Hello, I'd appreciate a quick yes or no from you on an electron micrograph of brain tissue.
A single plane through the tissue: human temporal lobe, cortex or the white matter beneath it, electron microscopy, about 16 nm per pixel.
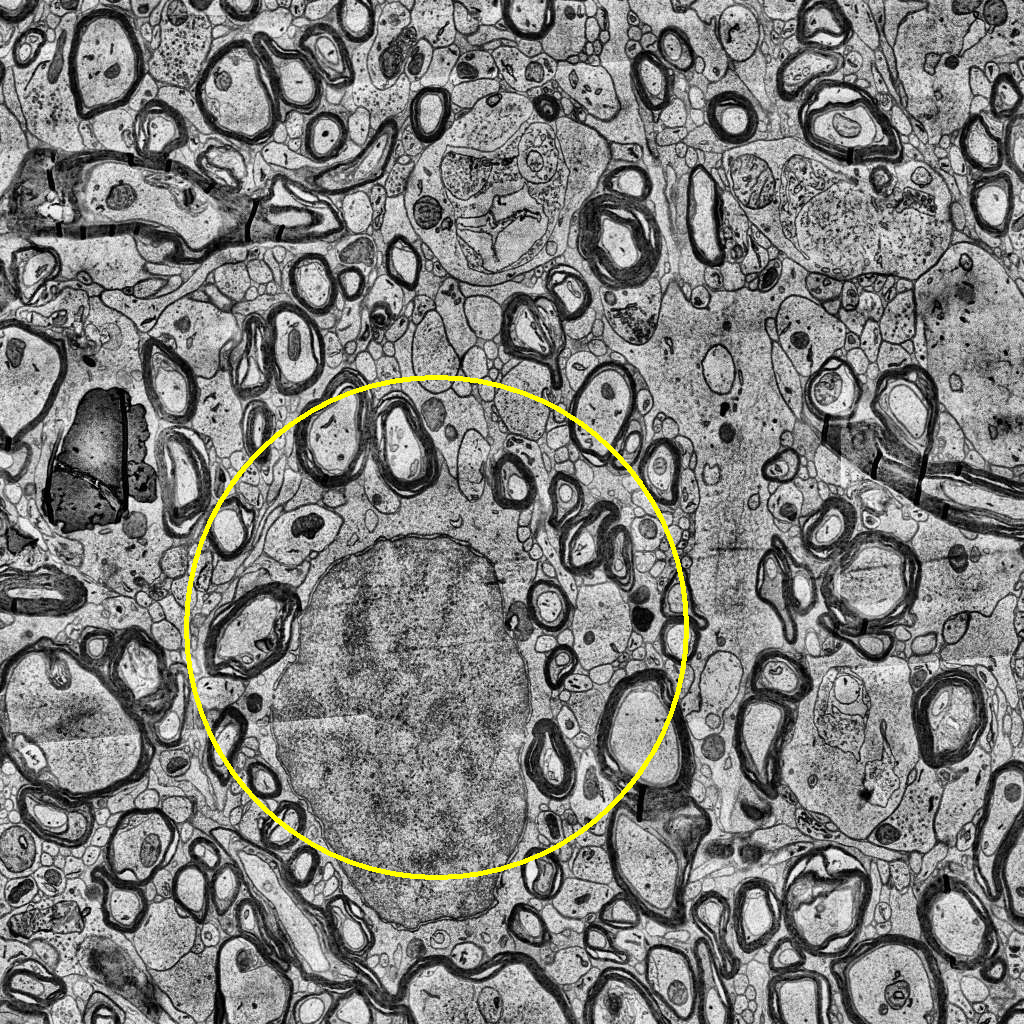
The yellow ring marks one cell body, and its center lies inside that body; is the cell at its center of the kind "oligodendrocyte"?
yes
